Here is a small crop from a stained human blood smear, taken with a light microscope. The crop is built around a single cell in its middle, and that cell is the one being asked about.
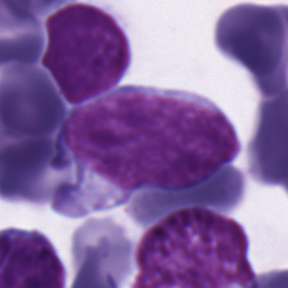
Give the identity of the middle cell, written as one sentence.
At the crop's centre, the cell is a blast.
